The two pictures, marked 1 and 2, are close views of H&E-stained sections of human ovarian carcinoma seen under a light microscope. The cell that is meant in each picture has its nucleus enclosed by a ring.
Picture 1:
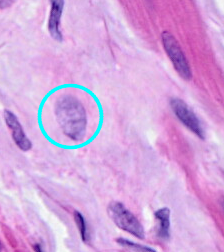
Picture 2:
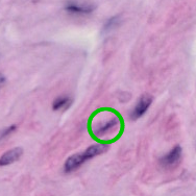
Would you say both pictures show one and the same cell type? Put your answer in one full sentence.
No. Picture 1 shows a fibroblast, but picture 2 shows a smooth muscle cell.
